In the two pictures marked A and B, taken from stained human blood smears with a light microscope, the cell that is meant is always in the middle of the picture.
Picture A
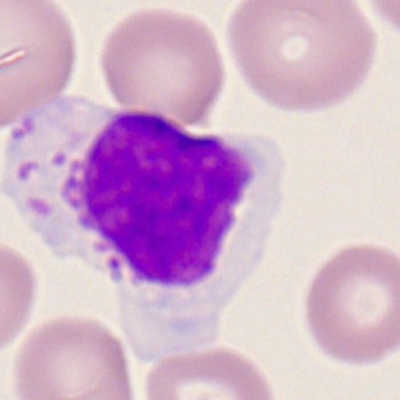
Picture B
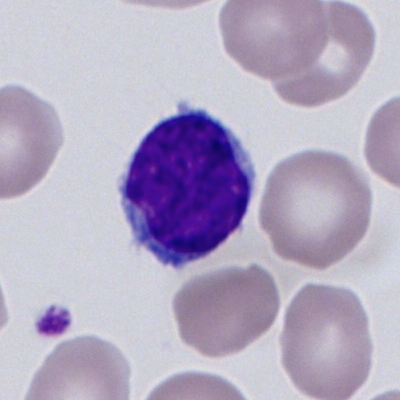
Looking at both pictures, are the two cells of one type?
yes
